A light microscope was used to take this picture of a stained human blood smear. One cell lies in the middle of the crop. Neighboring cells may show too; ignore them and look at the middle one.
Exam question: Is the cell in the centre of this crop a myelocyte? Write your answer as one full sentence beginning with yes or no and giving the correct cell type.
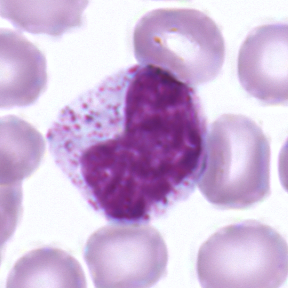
No, the central cell is not a myelocyte; it is a metamyelocyte.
